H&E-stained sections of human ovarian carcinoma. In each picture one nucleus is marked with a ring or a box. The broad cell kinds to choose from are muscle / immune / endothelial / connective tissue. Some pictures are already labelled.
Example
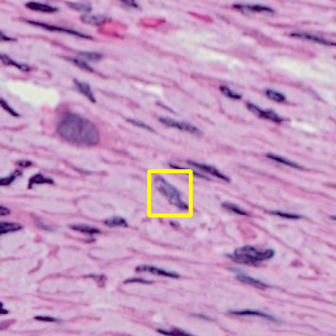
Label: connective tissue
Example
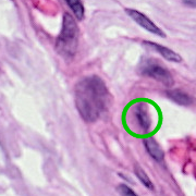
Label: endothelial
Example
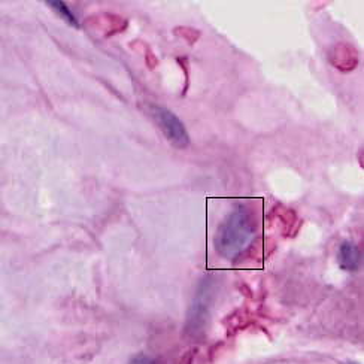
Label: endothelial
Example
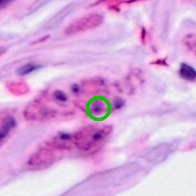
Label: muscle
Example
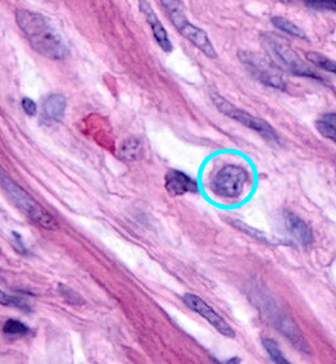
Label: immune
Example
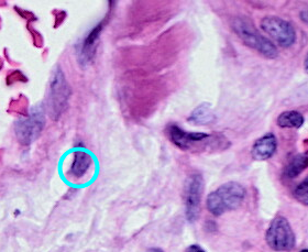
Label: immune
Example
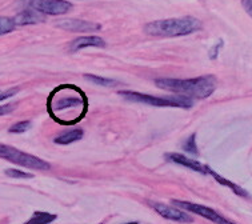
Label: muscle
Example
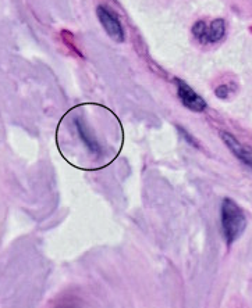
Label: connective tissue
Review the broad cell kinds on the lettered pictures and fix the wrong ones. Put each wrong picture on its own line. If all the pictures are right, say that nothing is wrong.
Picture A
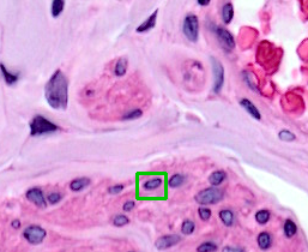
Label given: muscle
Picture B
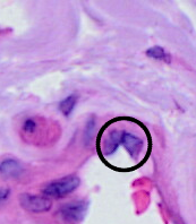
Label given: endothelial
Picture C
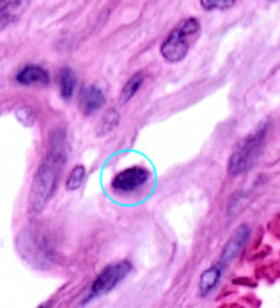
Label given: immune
All labels are correct.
